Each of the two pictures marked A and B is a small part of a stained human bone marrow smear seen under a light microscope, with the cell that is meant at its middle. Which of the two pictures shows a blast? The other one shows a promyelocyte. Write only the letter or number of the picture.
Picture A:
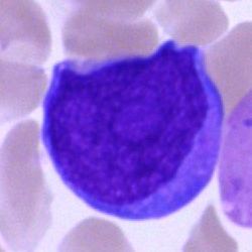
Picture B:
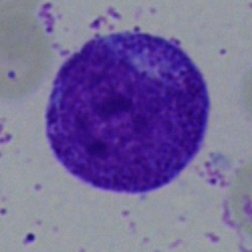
A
